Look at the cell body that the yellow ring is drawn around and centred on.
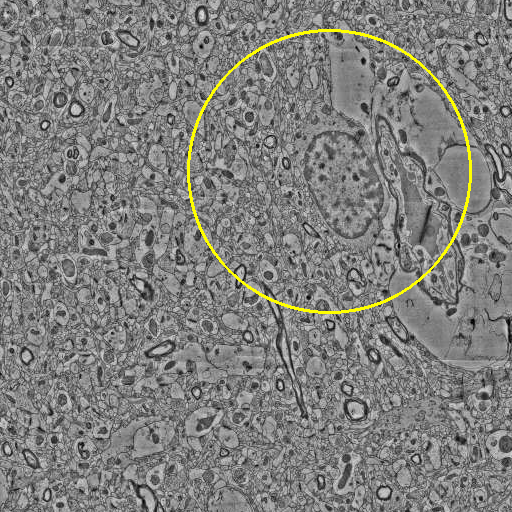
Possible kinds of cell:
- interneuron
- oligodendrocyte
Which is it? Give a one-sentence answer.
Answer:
The centred cell body is that of an oligodendrocyte.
